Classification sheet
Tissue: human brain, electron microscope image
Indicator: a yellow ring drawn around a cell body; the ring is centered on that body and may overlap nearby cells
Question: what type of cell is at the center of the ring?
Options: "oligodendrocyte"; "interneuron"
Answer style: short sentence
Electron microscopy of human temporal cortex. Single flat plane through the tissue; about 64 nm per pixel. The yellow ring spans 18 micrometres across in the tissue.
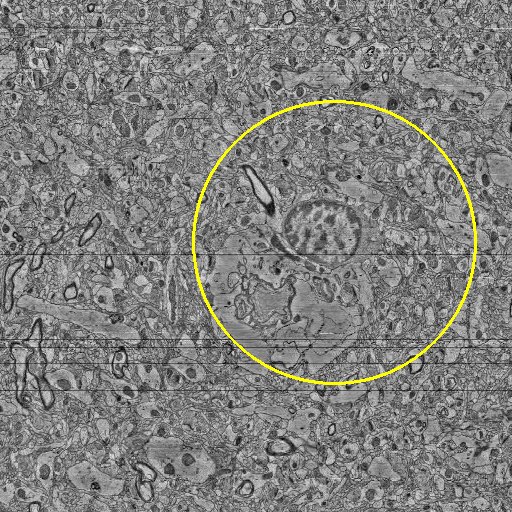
At the ring's center is an oligodendrocyte.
